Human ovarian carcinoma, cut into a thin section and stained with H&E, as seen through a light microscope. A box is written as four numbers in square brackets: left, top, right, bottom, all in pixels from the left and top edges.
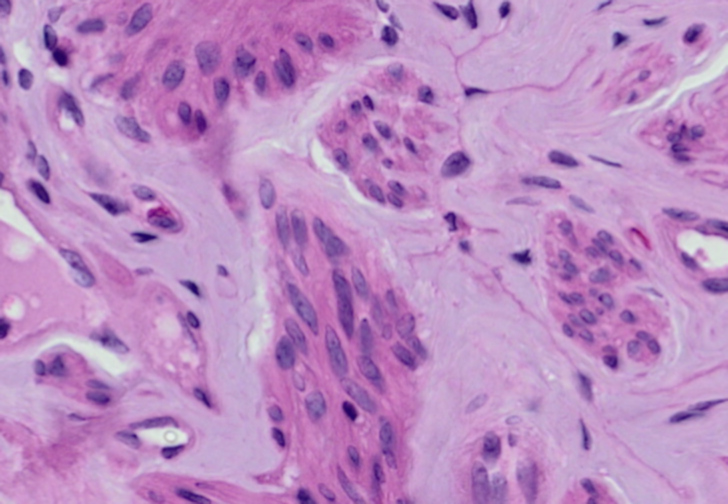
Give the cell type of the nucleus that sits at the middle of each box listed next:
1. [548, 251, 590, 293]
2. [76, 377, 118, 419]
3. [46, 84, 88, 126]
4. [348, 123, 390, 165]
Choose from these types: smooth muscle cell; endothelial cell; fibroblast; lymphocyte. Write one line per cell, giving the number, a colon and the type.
1: smooth muscle cell
2: smooth muscle cell
3: endothelial cell
4: smooth muscle cell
